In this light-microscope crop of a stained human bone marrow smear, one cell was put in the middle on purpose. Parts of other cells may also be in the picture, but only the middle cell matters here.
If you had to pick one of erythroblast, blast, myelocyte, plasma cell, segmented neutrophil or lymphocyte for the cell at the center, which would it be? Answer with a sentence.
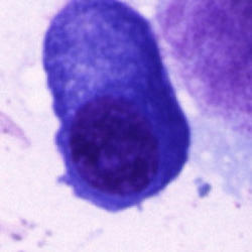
At the middle of the frame sits a plasma cell.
